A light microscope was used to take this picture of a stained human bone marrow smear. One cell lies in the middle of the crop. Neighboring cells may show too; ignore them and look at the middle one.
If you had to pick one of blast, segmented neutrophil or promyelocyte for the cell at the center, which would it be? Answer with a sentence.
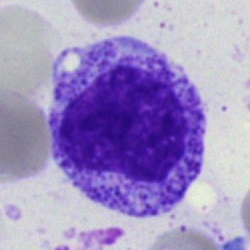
The centrally placed cell is classified as a promyelocyte.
